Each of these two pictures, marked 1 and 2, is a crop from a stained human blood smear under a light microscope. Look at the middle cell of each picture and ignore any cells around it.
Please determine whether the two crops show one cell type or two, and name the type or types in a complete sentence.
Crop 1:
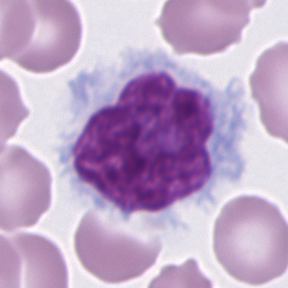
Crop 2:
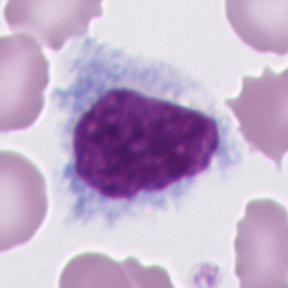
Yes, the cells that the two crops centre on are hairy cells.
